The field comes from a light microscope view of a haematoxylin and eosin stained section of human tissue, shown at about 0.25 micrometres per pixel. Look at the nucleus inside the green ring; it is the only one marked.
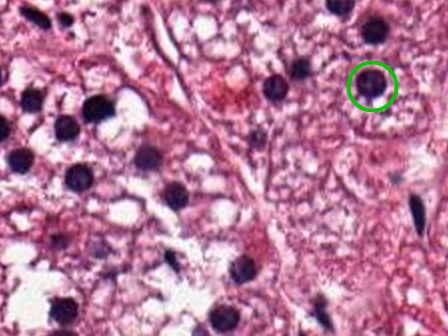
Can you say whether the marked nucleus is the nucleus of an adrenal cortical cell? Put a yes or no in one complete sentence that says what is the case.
Yes, the nucleus picked out by the mark belongs to an adrenal cortical cell.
